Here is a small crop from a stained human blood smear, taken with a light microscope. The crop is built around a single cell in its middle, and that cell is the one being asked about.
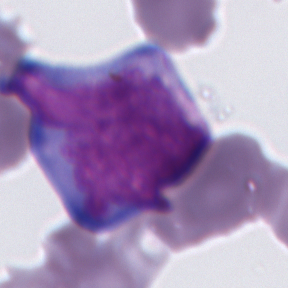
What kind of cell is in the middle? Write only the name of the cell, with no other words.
blast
